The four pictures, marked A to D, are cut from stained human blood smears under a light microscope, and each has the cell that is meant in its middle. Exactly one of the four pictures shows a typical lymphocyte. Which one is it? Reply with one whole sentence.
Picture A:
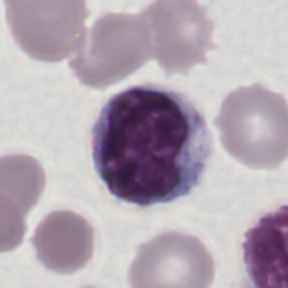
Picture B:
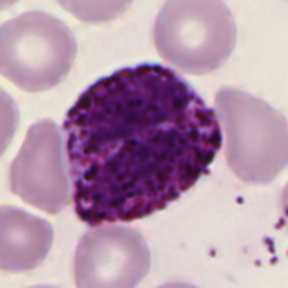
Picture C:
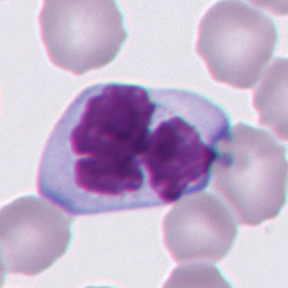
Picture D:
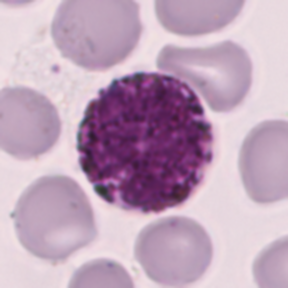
Picture C is the one that shows the typical lymphocyte.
